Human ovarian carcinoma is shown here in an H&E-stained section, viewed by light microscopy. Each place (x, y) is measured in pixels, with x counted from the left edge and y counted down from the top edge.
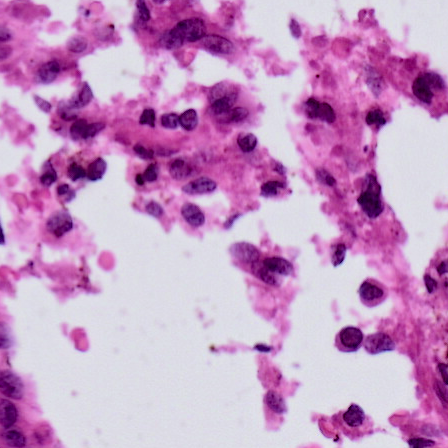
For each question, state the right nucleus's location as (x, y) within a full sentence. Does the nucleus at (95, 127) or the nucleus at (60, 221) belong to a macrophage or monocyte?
The nucleus whose cell is a macrophage or monocyte is the one at (60, 221).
